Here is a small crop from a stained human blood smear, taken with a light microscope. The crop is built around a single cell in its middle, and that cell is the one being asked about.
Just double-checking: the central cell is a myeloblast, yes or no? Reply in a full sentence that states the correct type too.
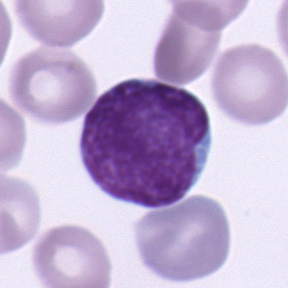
Yes, the cell at the center of the crop is a myeloblast.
